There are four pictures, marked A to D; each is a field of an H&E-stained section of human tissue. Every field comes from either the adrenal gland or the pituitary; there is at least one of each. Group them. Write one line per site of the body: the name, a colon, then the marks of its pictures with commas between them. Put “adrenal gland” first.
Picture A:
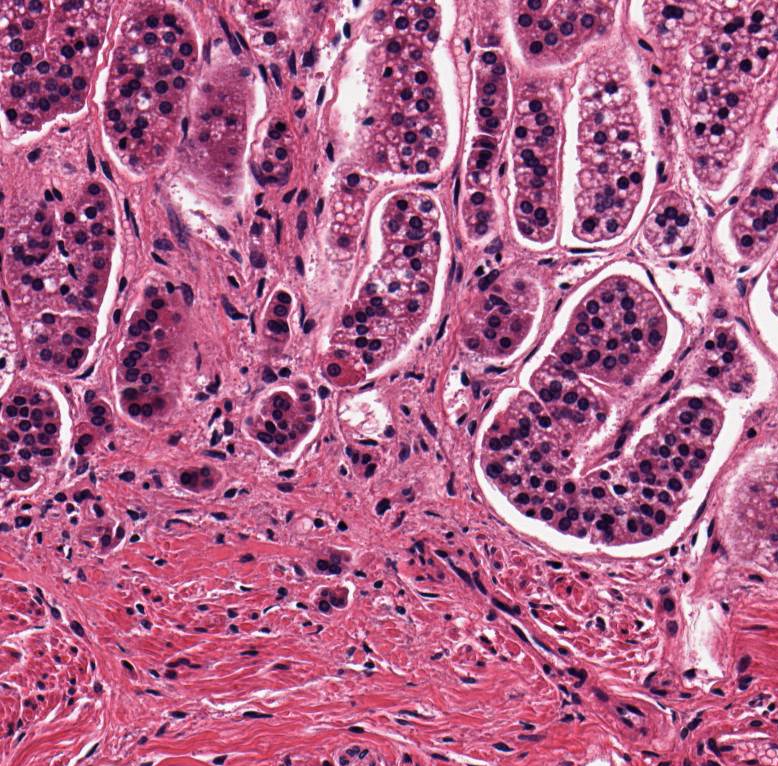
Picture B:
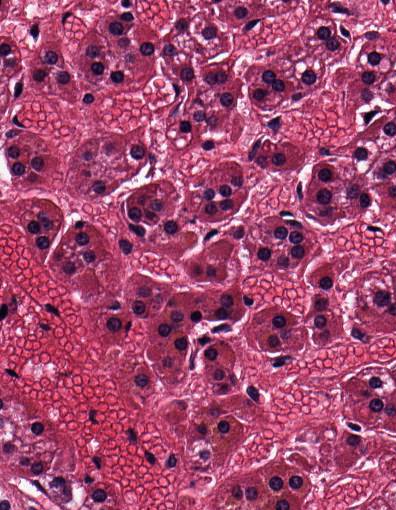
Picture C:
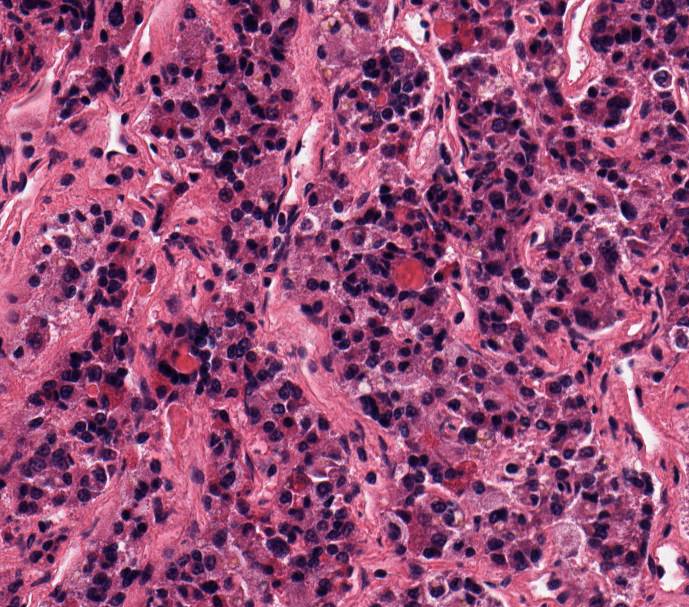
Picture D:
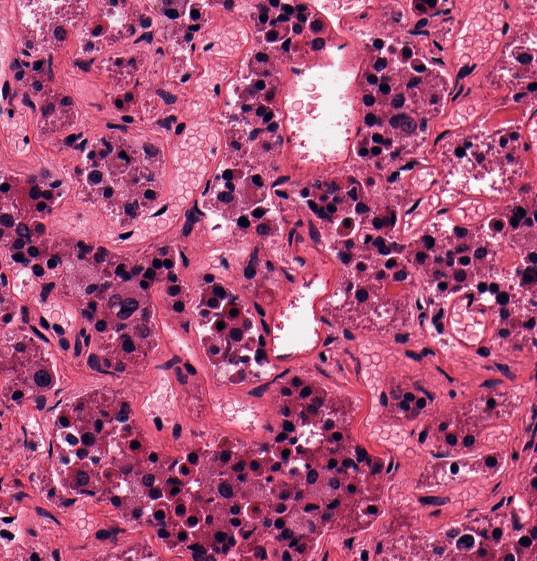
adrenal gland: A, B
pituitary: C, D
